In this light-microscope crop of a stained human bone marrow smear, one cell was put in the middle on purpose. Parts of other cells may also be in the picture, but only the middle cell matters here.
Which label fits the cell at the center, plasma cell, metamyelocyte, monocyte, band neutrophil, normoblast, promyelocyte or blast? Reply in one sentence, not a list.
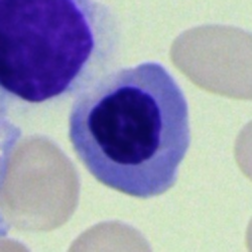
At the crop's centre, the cell is a normoblast.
